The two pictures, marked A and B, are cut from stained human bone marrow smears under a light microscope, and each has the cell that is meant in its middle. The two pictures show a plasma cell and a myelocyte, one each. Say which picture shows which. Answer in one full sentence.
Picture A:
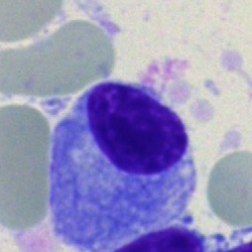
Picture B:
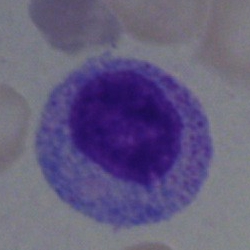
Picture A shows a plasma cell and picture B shows a myelocyte.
